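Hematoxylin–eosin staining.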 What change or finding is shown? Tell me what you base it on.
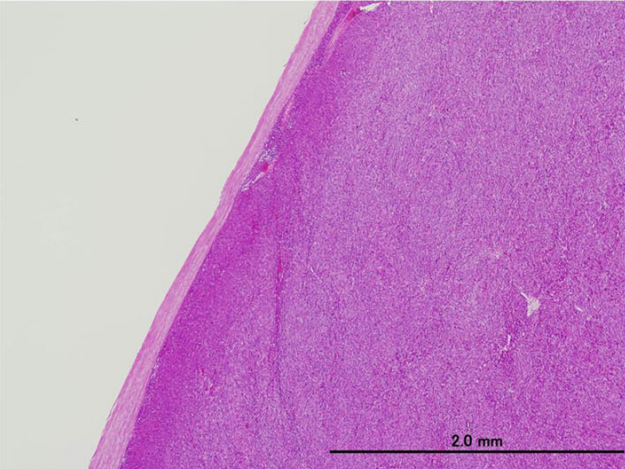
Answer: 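A thin pink fibrous band runs along the left edge of the tissue. The densely cellular tissue lies beneath this band with a smooth, sharp border. That points to this answer: encapsulated.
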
